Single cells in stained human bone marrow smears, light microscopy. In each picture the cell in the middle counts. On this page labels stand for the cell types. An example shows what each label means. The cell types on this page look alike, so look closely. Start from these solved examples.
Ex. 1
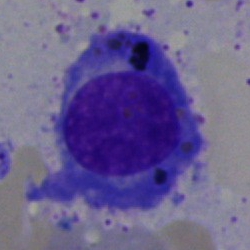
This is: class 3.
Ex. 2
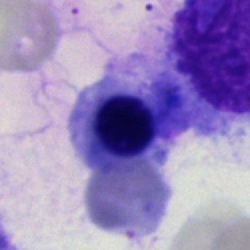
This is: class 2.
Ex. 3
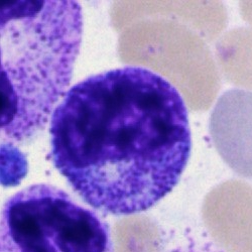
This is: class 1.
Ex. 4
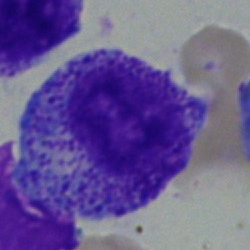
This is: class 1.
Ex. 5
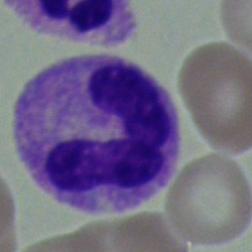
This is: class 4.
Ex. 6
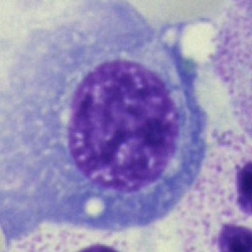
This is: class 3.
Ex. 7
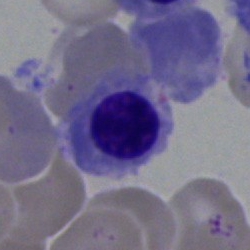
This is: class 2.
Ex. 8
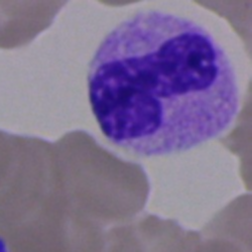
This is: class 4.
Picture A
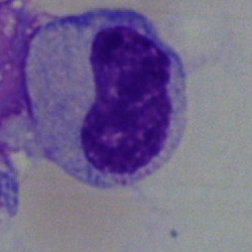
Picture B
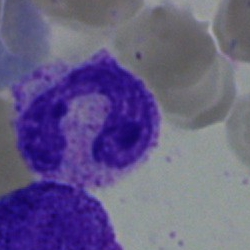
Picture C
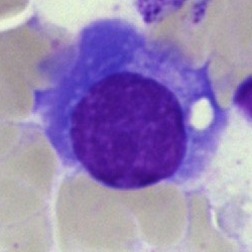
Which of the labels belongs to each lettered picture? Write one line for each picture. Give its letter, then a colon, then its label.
A: class 4.
B: class 4.
C: class 3.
